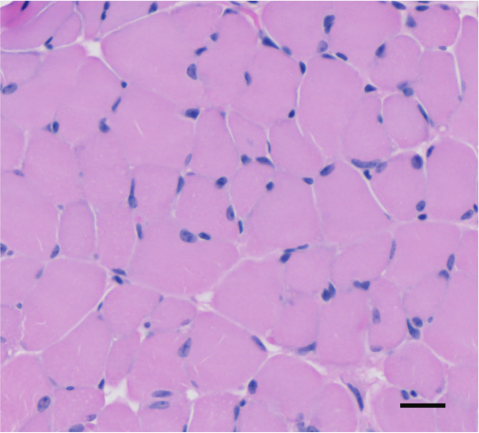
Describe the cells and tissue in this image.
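Transverse section of skeletal muscle showing closely packed, polygonal muscle fibers with uniform pink cytoplasm. Nuclei are dark purple, small and flattened, and sit at the edges of the fibers rather than in their centres. Occasional small clear gaps appear where several fibers meet.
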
